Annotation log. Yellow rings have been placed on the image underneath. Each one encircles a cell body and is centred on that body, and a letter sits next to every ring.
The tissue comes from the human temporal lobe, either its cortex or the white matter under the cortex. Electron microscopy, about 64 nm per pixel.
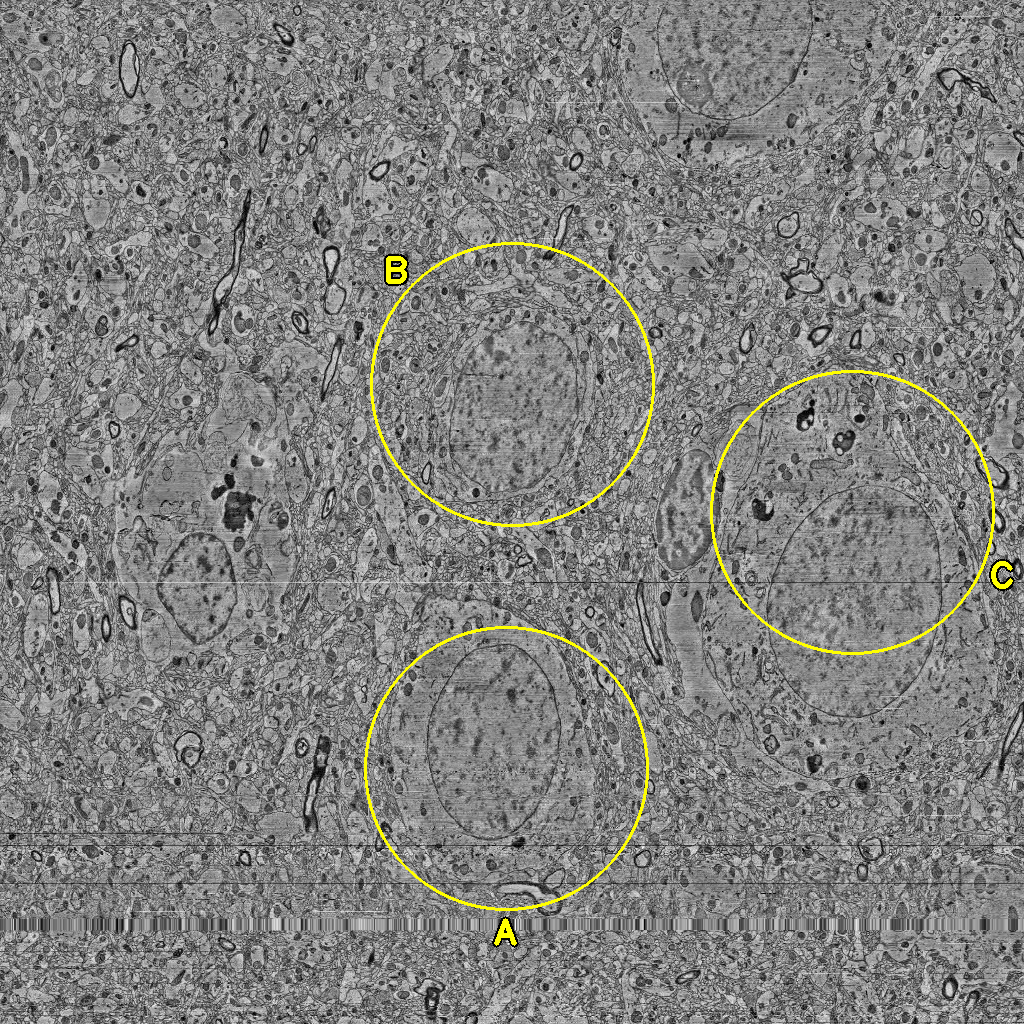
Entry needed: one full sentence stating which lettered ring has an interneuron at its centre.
The cell asked for sits at the centre of Ring B in the picture.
